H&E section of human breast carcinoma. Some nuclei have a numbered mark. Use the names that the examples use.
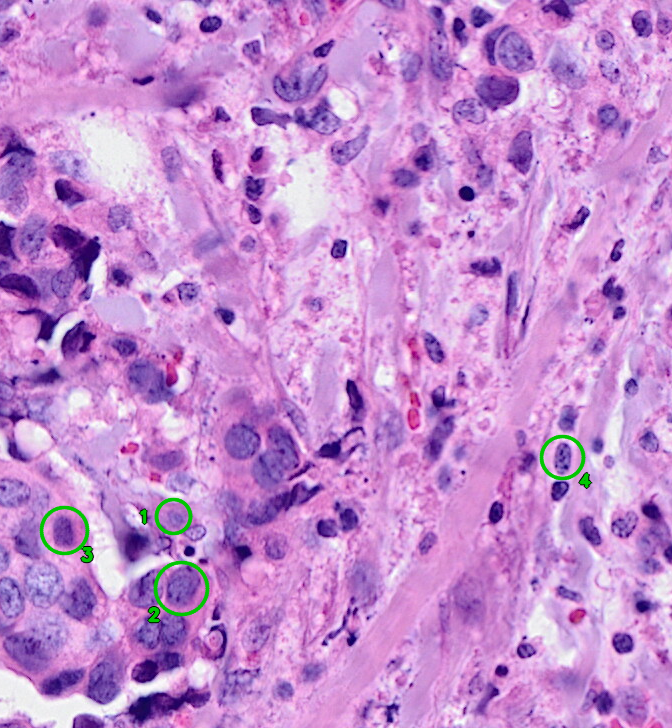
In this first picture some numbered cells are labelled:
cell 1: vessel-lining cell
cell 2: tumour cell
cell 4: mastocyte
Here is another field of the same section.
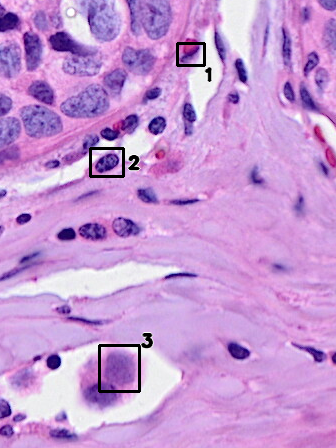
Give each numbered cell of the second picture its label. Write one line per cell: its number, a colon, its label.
1: vessel-lining cell
2: mastocyte
3: tumour cell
